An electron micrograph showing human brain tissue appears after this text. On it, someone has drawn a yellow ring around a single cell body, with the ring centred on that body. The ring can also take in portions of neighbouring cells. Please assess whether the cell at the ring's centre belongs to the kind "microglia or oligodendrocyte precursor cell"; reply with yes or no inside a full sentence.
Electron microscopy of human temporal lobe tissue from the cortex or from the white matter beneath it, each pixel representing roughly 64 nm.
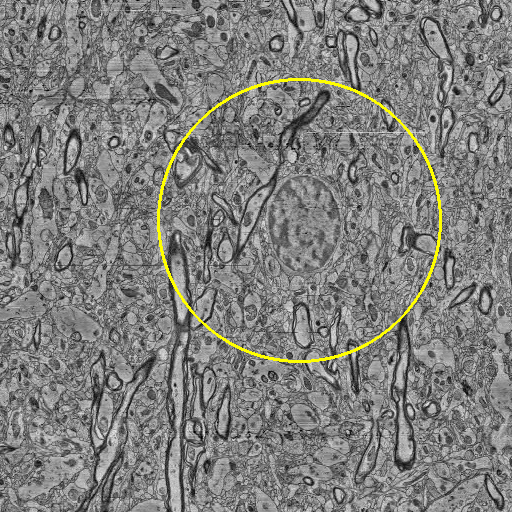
No, in this micrograph the cell at the centre of the ring is of another kind.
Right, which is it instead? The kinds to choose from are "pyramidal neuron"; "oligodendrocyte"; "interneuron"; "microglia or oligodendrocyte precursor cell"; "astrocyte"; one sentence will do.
The answer is that the ringed cell is an oligodendrocyte.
